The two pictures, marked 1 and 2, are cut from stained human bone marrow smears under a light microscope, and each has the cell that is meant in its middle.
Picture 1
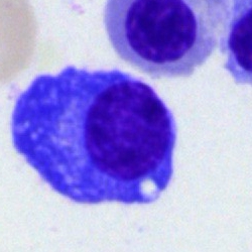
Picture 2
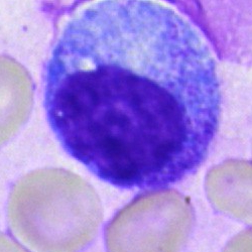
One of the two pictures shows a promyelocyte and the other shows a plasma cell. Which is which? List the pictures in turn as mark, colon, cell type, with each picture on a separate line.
1: plasma cell
2: promyelocyte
